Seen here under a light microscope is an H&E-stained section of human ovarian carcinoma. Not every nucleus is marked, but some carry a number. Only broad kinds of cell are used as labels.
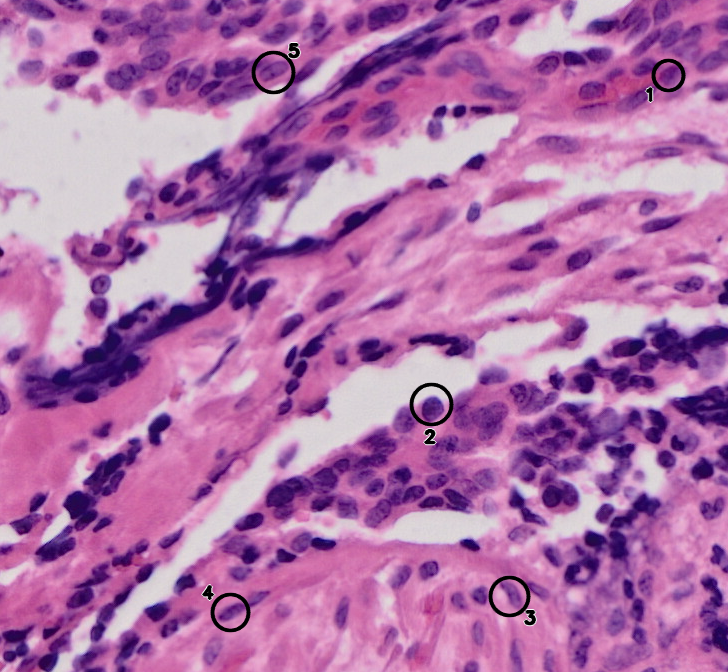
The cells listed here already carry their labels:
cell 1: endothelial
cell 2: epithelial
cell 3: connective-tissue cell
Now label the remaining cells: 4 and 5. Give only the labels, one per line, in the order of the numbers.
connective-tissue cell
epithelial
